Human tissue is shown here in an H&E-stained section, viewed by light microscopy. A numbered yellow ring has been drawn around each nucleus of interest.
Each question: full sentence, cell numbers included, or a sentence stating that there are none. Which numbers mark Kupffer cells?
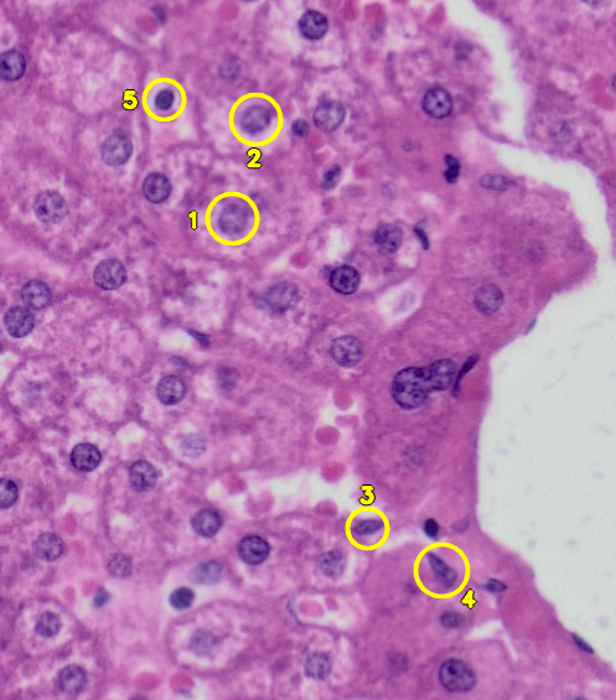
Of the marked cells, the one numbered 3 is a Kupffer cell and the rest are not.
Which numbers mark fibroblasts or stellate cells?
Unlike the other numbered cells, cell 4 is a fibroblast or stellate cell.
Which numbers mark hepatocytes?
In short, the numbered cells 1 and 2 are hepatocytes.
